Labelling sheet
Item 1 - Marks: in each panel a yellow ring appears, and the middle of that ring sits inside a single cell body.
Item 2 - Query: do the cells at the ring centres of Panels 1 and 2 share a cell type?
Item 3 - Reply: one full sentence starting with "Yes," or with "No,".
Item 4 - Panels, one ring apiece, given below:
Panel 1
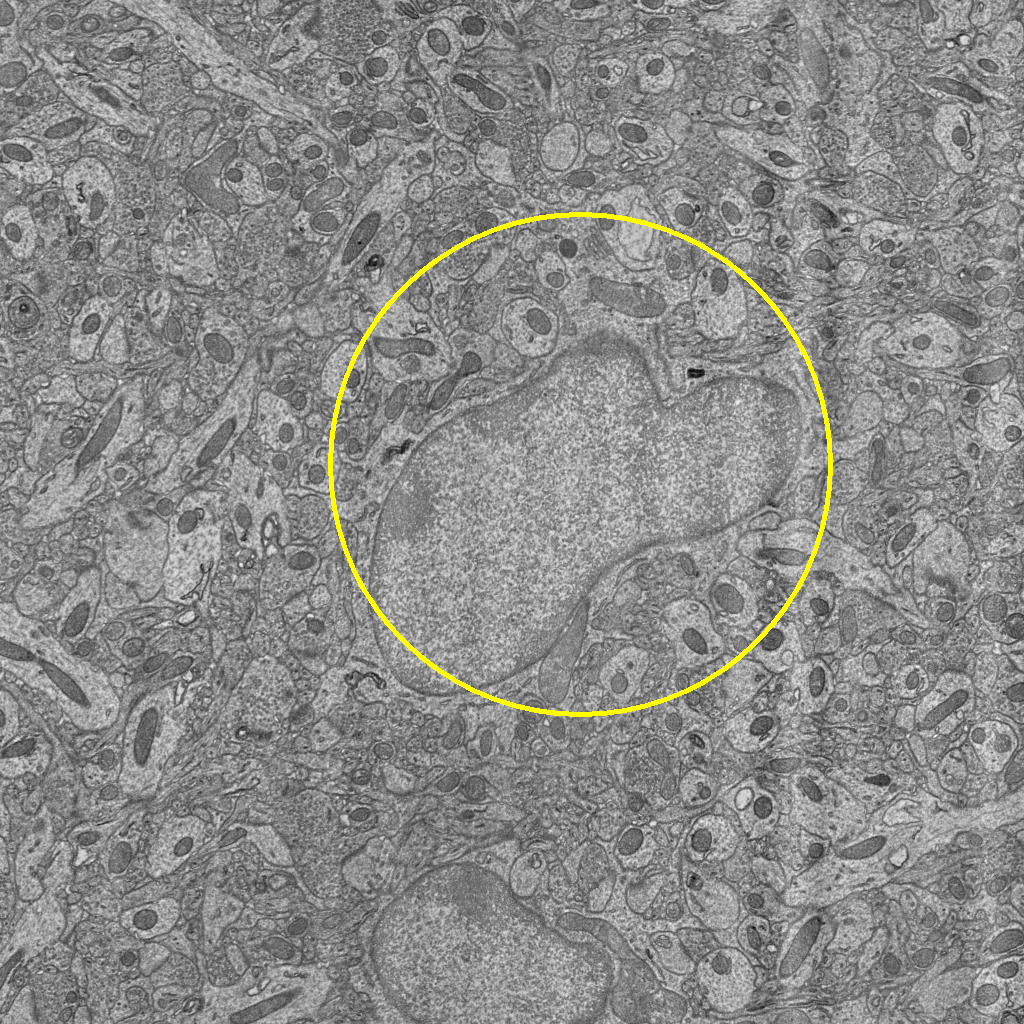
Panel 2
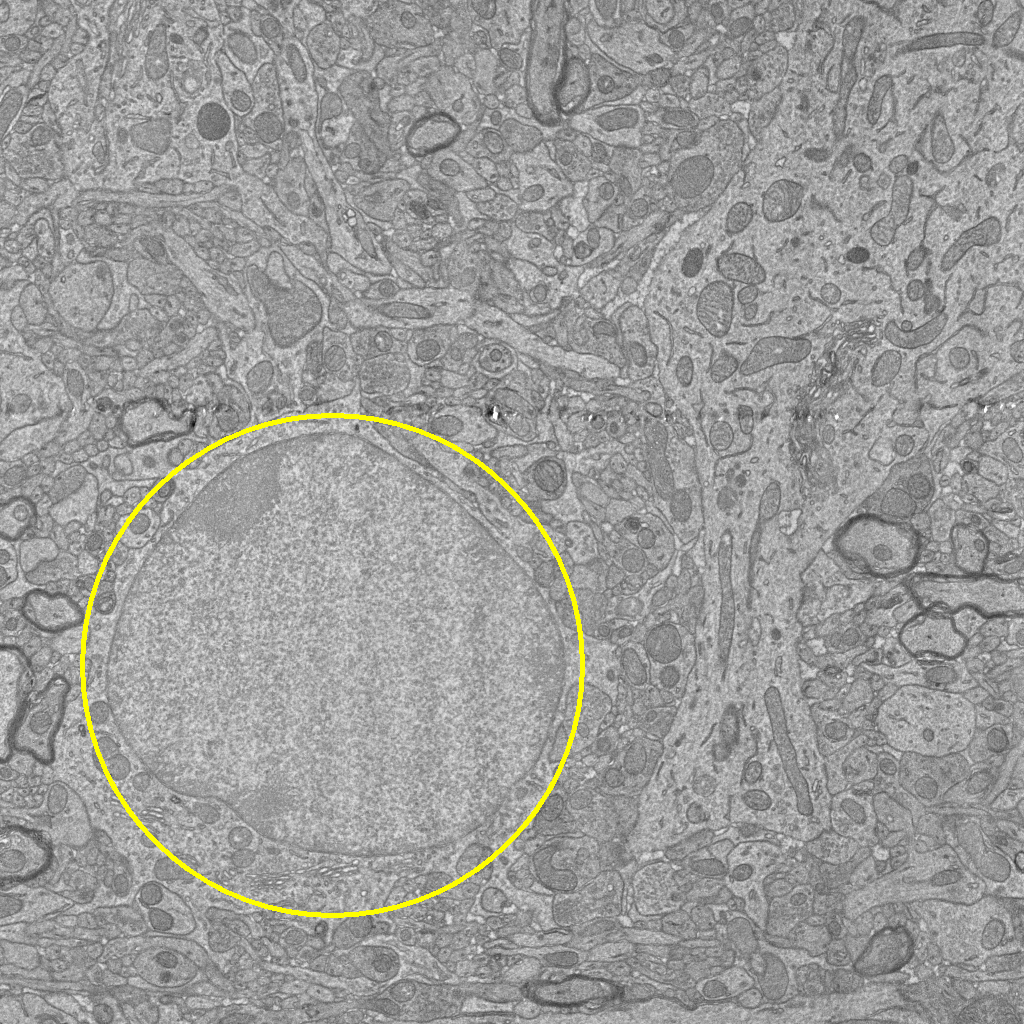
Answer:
Yes, Panel 1 and Panel 2 show one cell type at the centres of their rings.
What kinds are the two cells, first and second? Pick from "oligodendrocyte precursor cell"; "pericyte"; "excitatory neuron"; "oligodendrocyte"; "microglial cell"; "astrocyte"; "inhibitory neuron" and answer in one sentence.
Both cells are the same kind, each one being an astrocyte.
